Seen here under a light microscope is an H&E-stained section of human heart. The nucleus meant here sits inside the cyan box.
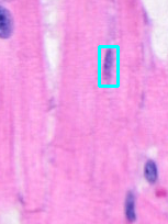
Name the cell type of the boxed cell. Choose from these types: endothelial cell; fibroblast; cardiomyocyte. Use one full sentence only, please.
In this tissue sample, the boxed cell is an endothelial cell.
